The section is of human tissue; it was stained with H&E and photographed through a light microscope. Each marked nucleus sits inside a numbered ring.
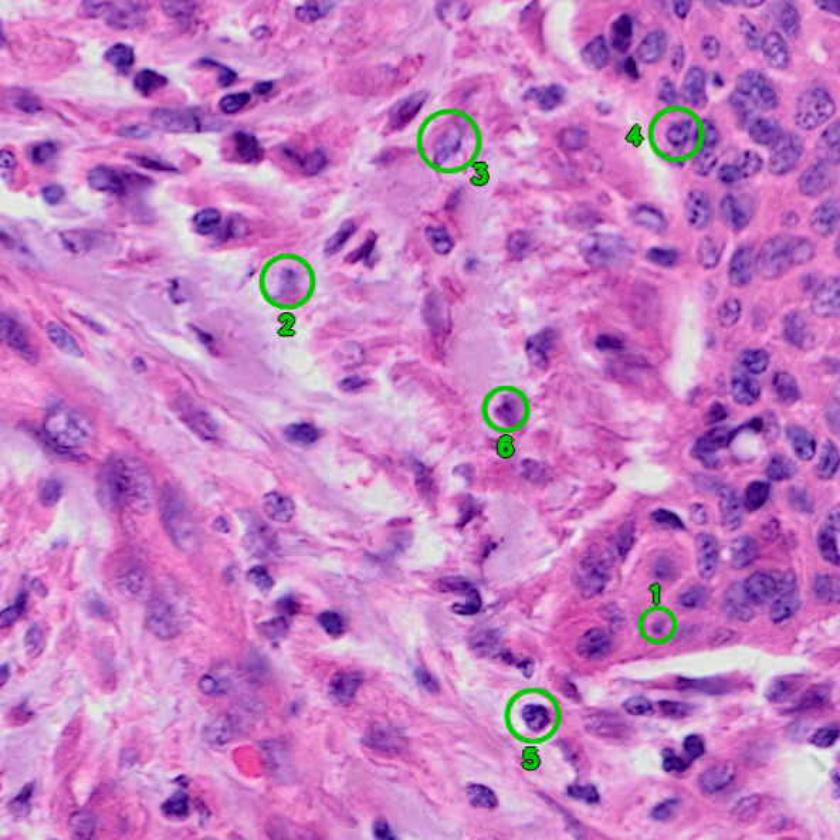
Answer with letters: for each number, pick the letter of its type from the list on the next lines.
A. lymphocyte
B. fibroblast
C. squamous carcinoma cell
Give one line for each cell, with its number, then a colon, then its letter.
1: C
2: B
3: B
4: C
5: A
6: B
